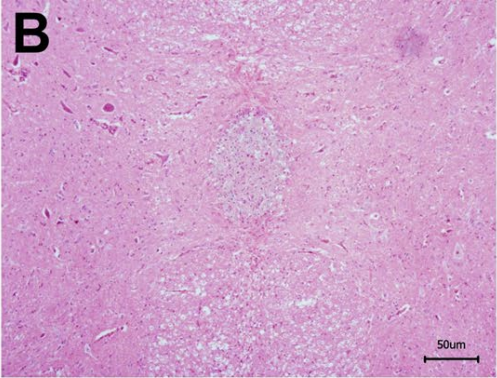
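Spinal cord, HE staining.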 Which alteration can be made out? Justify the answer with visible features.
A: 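No open lumen is seen in the midline. An oval plug of pale granular material fills the midline where the canal would lie.
Conclusion: the central canal was tightly blocked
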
